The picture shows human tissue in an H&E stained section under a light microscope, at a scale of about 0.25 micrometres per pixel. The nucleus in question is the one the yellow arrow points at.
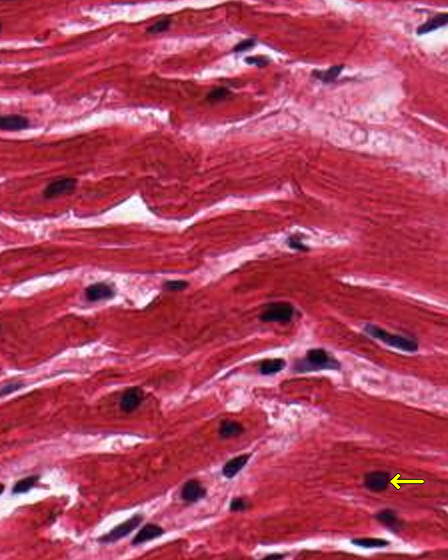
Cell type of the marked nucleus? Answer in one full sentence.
The marked nucleus is seen to belong to a cardiomyocyte.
